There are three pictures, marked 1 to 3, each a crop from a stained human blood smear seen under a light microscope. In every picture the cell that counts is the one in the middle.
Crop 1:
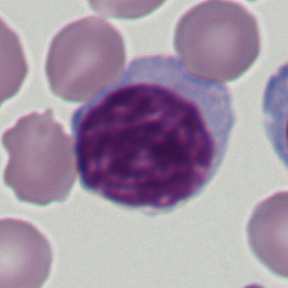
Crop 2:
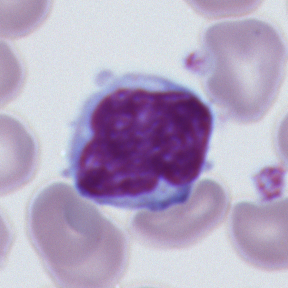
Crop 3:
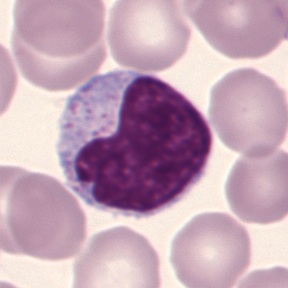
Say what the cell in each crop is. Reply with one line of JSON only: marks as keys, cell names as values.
{"1": "typical lymphocyte", "2": "typical lymphocyte", "3": "large granular lymphocyte"}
